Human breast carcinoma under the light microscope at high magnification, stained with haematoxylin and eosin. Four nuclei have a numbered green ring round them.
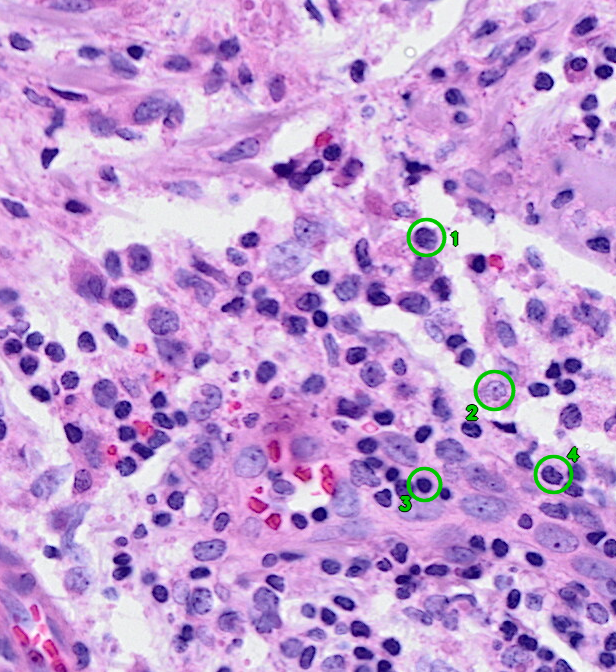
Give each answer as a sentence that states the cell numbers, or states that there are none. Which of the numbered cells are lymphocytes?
Cells 1, 3 and 4 are recognised here as lymphocytes.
